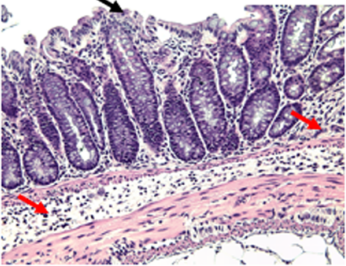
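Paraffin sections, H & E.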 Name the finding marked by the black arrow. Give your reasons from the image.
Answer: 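The arrow points at the luminal surface of the mucosa. The surface epithelium there is irregular and disrupted rather than a smooth continuous lining. That points to this answer: mucosal damage.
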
